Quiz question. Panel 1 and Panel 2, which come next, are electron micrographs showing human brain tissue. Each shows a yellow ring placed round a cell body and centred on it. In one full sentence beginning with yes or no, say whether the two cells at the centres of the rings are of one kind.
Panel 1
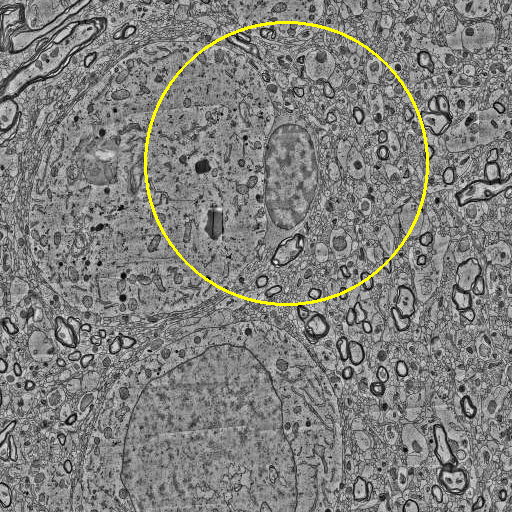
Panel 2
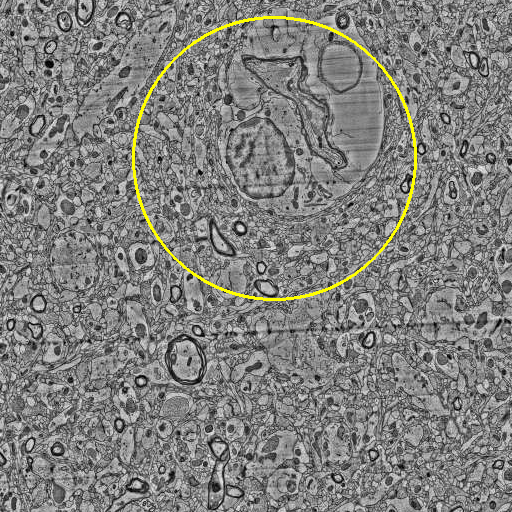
No, Panel 1 and Panel 2 show two kinds of cell at the centre of the ring.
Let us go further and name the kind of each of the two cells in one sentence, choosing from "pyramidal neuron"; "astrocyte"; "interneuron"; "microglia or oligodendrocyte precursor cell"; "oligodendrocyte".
The ring of the first picture is on an oligodendrocyte, the ring of the second on a microglial cell or oligodendrocyte precursor cell.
